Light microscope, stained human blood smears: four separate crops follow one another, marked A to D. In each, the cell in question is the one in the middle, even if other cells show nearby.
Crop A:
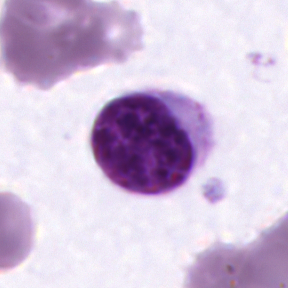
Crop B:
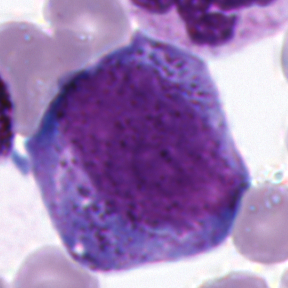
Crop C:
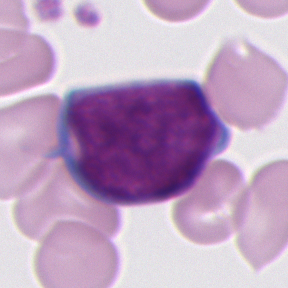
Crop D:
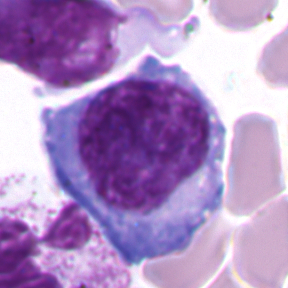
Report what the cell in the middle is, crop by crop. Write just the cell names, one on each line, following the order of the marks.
plasma cell
promyelocyte
myeloblast
plasma cell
